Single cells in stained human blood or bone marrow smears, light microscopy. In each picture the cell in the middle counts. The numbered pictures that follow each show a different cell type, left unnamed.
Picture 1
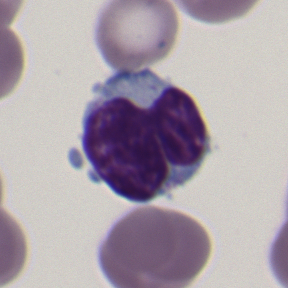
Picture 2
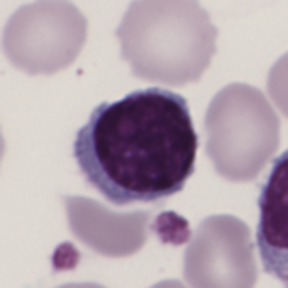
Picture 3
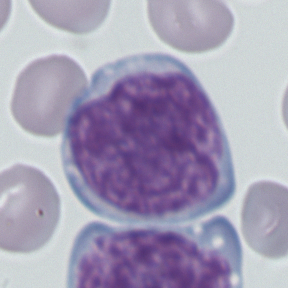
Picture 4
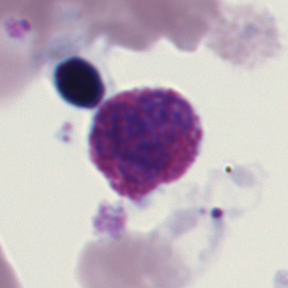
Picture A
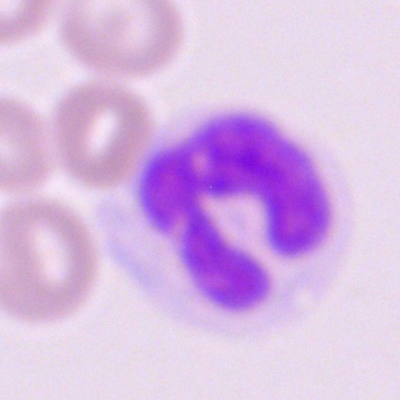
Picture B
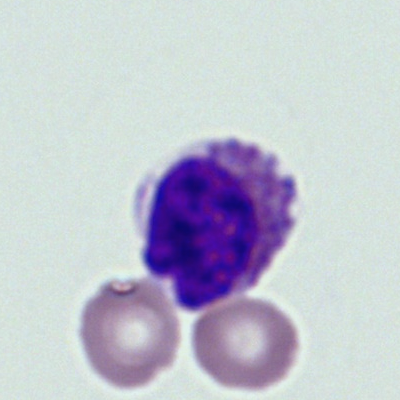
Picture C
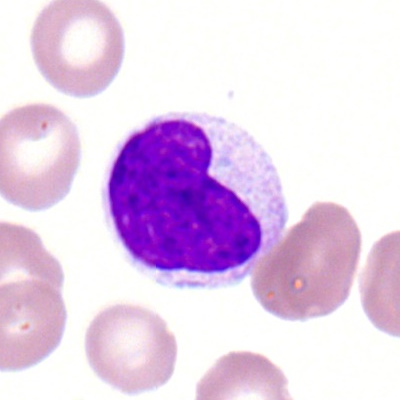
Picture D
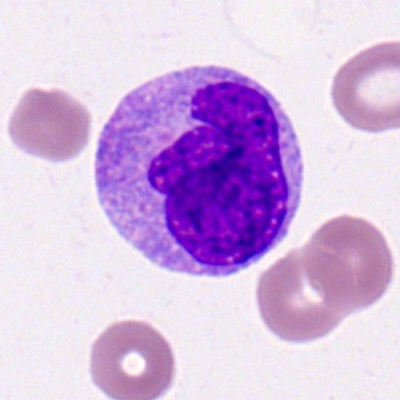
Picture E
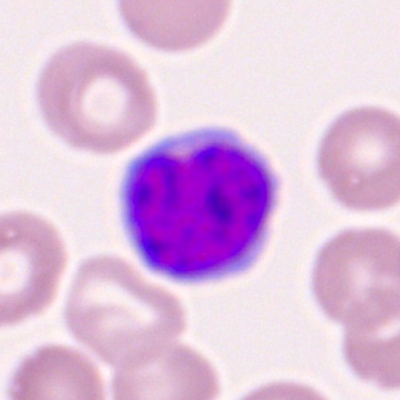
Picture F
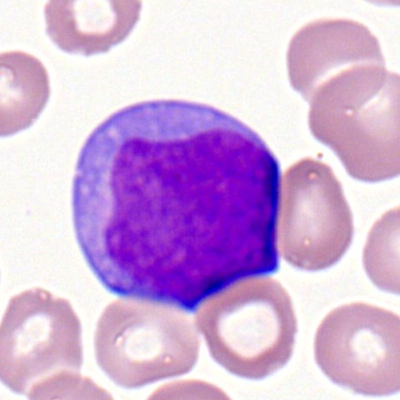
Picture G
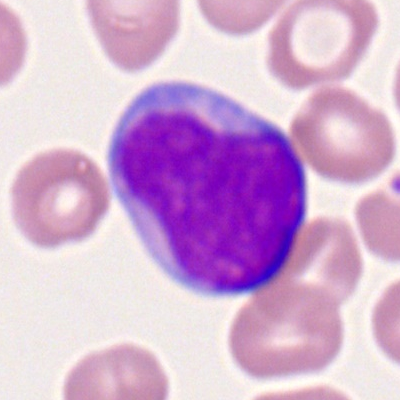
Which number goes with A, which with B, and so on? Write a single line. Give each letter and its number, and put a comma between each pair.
A 1, B 4, C 2, D 1, E 2, F 3, G 3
